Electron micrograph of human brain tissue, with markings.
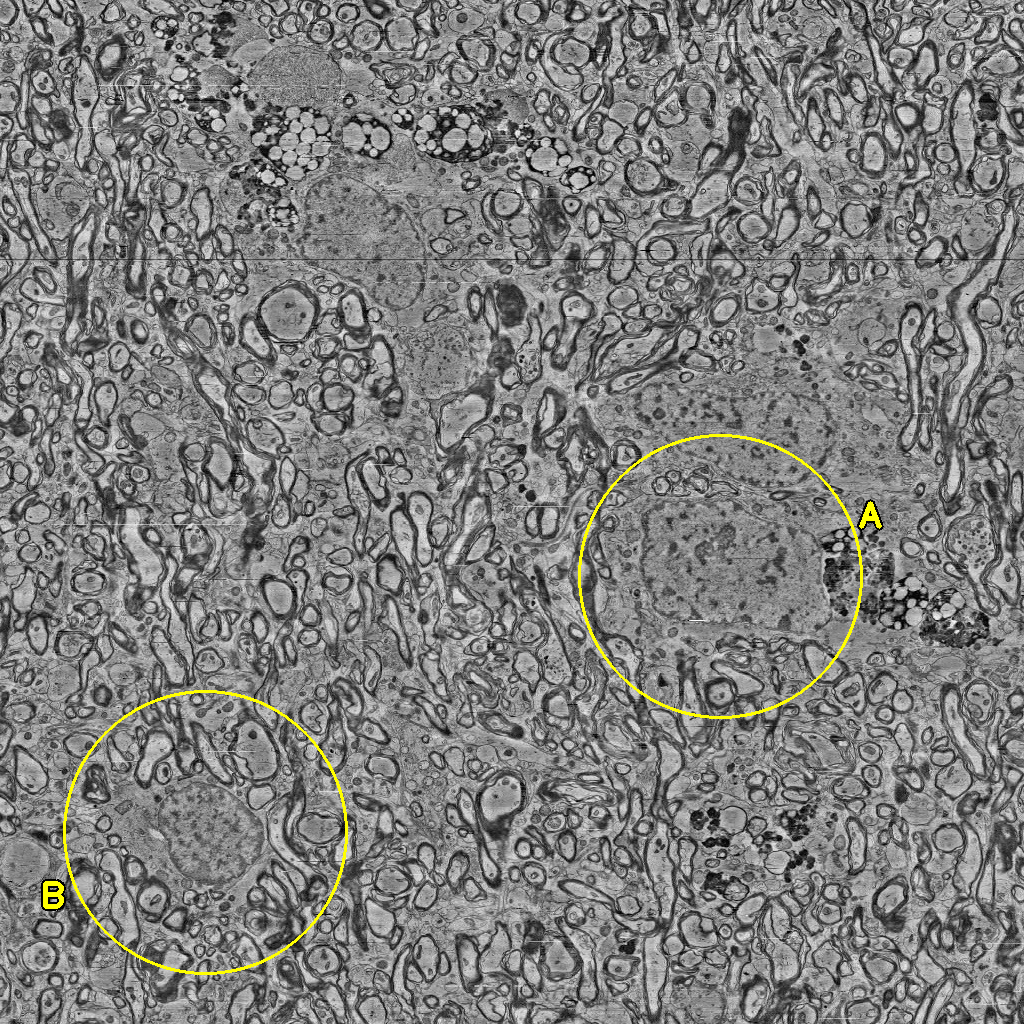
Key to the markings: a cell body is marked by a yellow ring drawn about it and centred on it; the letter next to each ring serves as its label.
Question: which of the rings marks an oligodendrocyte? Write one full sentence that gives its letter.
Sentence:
In this picture, the ring marking that kind of cell has the letter B.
